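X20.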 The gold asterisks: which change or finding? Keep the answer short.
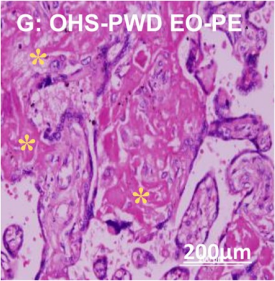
Perivillous fibrin deposition.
